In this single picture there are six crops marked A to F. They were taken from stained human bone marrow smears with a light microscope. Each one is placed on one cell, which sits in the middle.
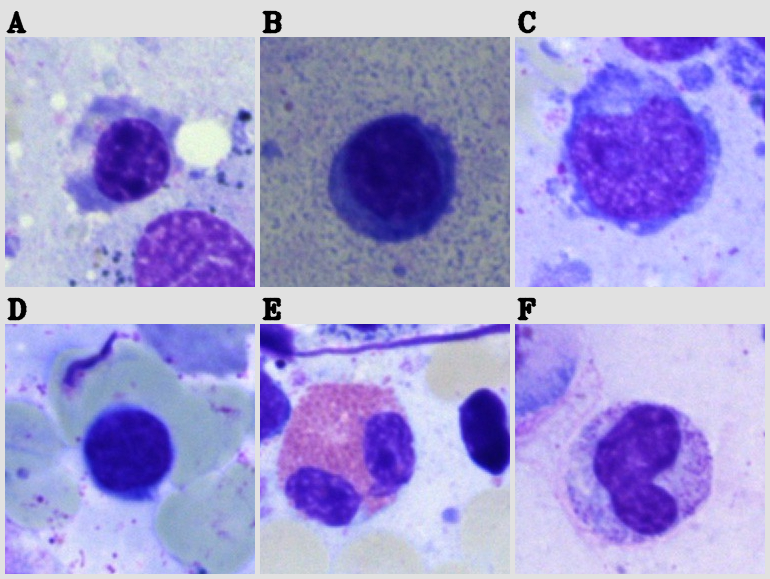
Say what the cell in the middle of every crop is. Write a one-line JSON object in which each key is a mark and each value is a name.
{"A": "erythroblast", "B": "plasma cell", "C": "blast", "D": "lymphocyte", "E": "eosinophil", "F": "band neutrophil"}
